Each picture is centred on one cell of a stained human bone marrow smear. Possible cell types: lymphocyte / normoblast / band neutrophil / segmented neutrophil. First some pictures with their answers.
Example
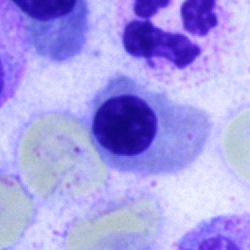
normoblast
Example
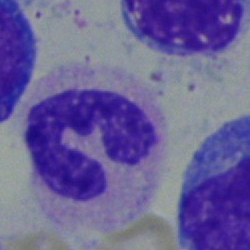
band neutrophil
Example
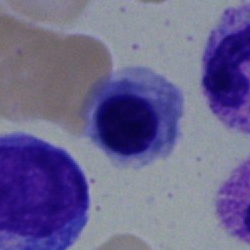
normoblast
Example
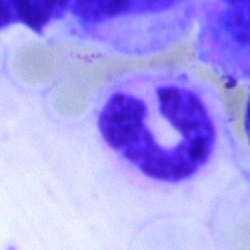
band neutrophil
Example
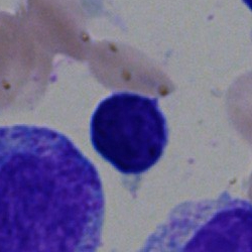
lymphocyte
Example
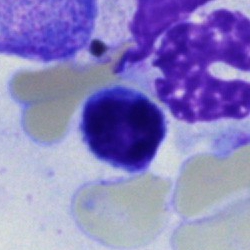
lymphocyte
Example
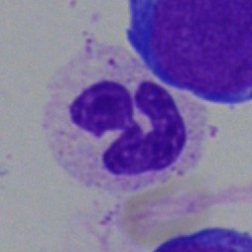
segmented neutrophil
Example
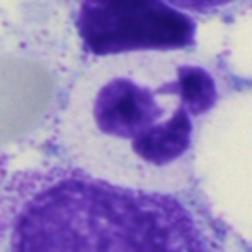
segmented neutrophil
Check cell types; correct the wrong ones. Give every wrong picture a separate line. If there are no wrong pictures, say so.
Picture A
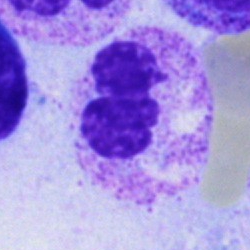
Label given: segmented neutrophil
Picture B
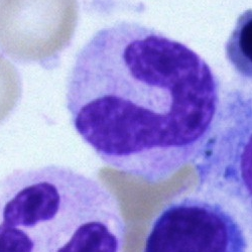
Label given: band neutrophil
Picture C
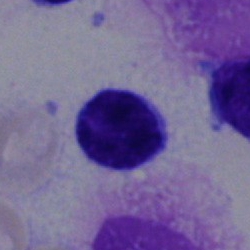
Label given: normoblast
Wrong: C (normoblast); correct: lymphocyte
